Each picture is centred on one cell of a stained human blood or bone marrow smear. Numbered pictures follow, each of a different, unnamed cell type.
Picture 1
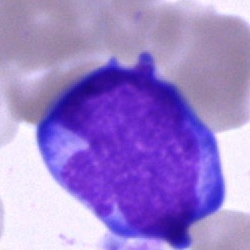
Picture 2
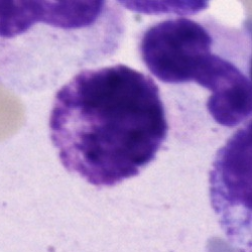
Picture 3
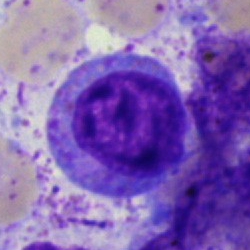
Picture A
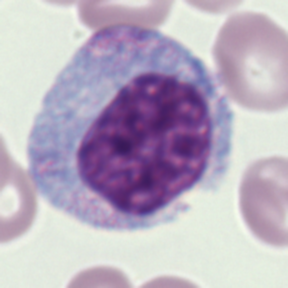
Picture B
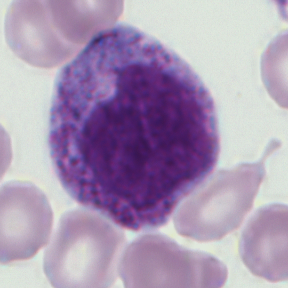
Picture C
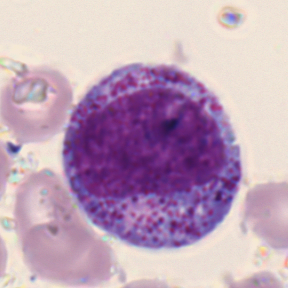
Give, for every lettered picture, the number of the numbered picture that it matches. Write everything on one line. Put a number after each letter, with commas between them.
A 3, B 3, C 3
